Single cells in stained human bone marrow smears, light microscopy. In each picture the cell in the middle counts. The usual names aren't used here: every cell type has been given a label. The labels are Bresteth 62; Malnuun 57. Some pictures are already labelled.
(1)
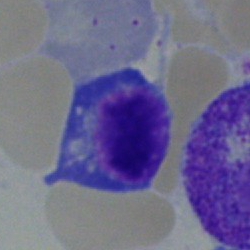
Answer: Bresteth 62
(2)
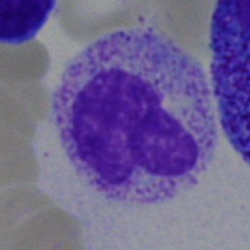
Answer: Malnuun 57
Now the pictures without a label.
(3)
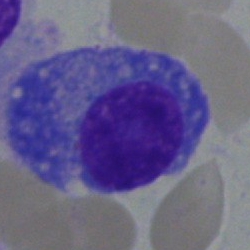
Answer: Bresteth 62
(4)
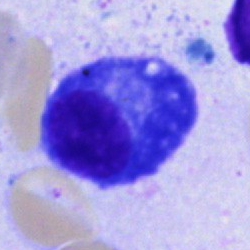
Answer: Bresteth 62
